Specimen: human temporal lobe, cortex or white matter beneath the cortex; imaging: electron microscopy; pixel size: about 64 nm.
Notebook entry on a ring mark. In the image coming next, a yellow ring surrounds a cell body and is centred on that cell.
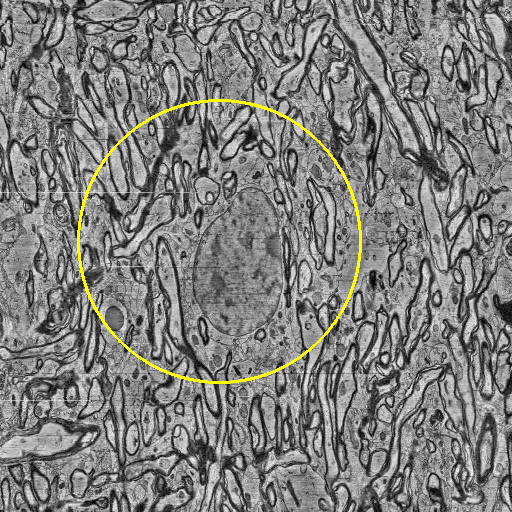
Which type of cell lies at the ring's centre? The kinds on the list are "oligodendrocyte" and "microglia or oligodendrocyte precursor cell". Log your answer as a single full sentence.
Centred in the yellow ring is a microglial cell or oligodendrocyte precursor cell, the cell recorded for this image.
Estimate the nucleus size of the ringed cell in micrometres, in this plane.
In this plane the nucleus measures roughly 10 by 6 micrometers.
